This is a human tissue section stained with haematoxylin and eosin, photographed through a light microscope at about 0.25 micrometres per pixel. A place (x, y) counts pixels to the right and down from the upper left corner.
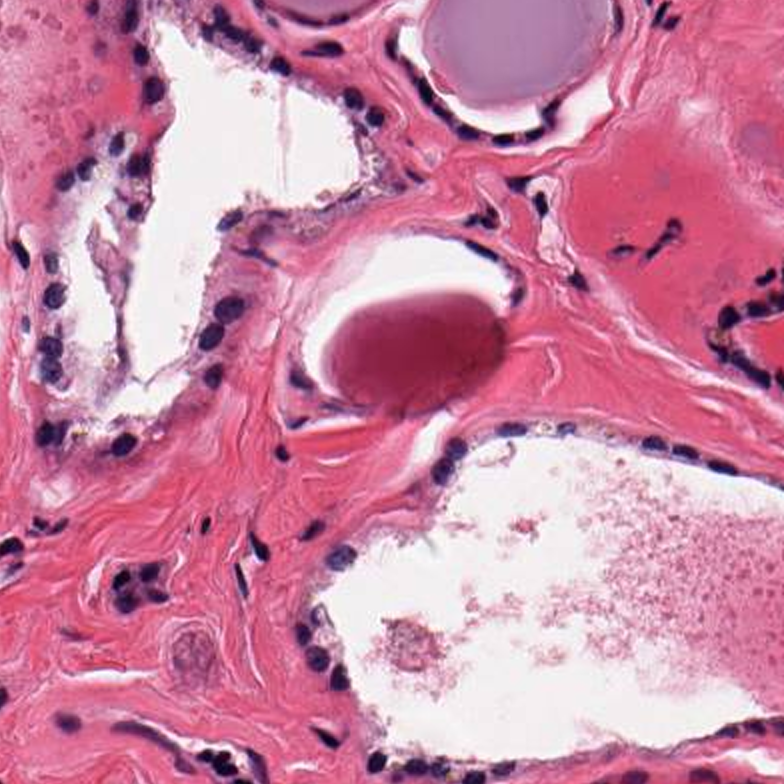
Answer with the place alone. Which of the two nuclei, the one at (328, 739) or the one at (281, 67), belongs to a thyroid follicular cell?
(281, 67)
